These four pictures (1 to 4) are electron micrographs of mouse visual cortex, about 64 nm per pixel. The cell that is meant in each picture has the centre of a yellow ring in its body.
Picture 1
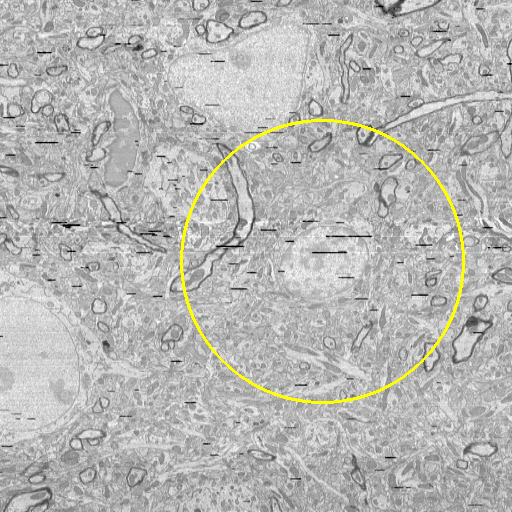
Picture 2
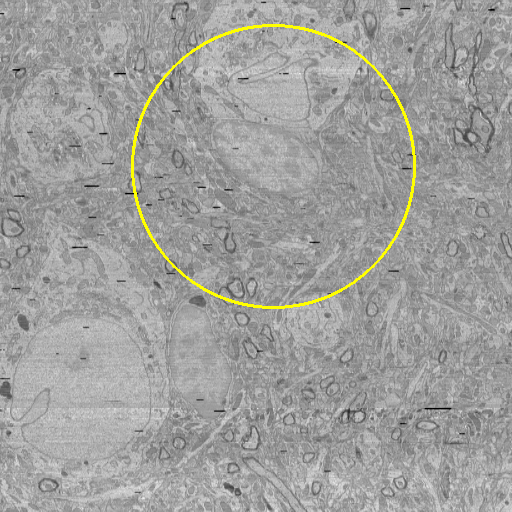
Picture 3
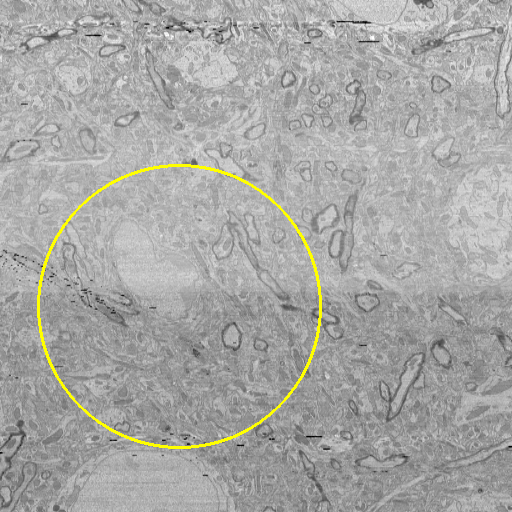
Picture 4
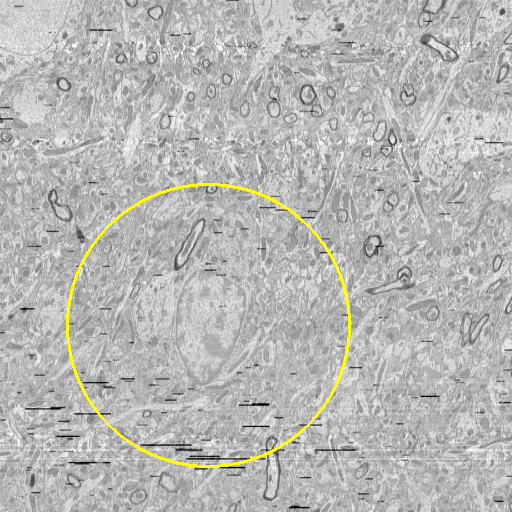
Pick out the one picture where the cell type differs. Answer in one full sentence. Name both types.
The others show oligodendrocytes, but picture 3 shows an oligodendrocyte precursor cell.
